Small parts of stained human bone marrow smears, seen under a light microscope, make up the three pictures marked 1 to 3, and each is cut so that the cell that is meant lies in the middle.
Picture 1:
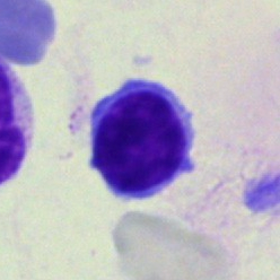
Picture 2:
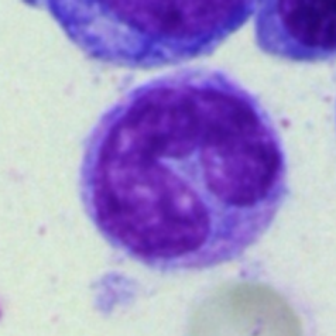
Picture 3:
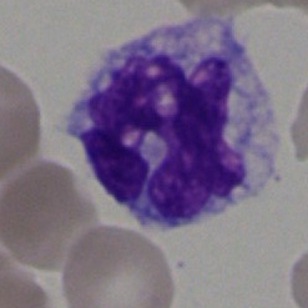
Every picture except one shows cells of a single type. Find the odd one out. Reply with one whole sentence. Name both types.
All pictures except 1 show monocytes; picture 1 shows a lymphocyte.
